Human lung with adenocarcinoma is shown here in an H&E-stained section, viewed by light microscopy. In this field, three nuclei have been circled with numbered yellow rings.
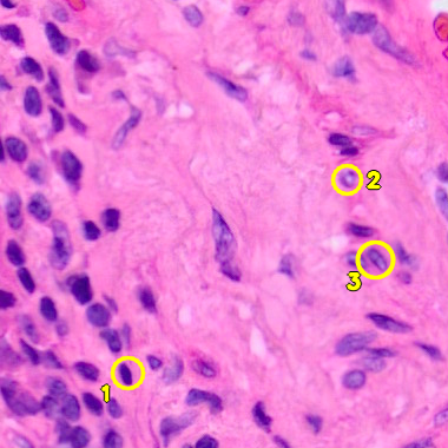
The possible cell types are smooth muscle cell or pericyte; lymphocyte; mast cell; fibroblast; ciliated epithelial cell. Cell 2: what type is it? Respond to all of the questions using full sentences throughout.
The cell marked with the number 2 is a smooth muscle cell or pericyte.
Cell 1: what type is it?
To a lymphocyte belongs the nucleus marked 1.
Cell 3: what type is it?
The one labeled 3 is a smooth muscle cell or pericyte, to put it simply.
